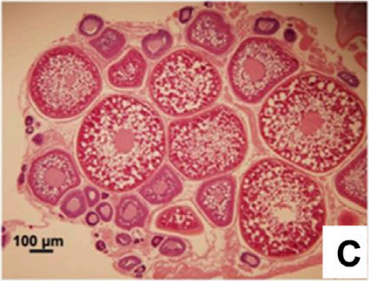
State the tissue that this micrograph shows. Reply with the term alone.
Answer: Ovary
